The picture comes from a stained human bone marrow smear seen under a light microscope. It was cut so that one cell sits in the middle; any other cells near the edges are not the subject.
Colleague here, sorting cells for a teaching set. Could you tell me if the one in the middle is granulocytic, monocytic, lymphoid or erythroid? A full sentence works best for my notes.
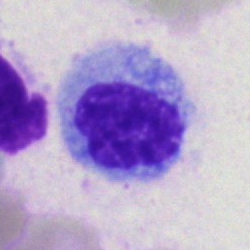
The middle cell is placed in the monocytic lineage.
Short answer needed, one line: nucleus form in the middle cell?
The nucleus holds together as a single compact mass, round, oval or kidney-like.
